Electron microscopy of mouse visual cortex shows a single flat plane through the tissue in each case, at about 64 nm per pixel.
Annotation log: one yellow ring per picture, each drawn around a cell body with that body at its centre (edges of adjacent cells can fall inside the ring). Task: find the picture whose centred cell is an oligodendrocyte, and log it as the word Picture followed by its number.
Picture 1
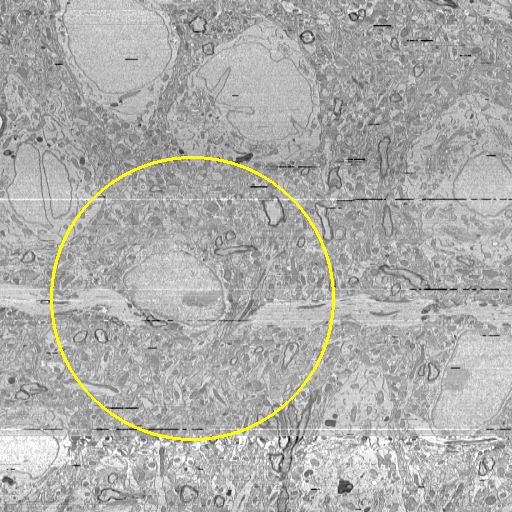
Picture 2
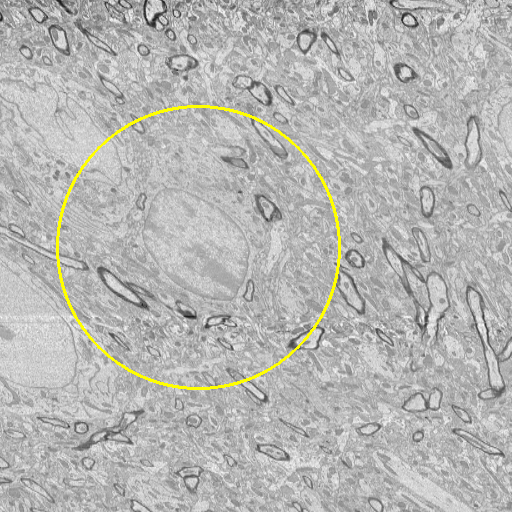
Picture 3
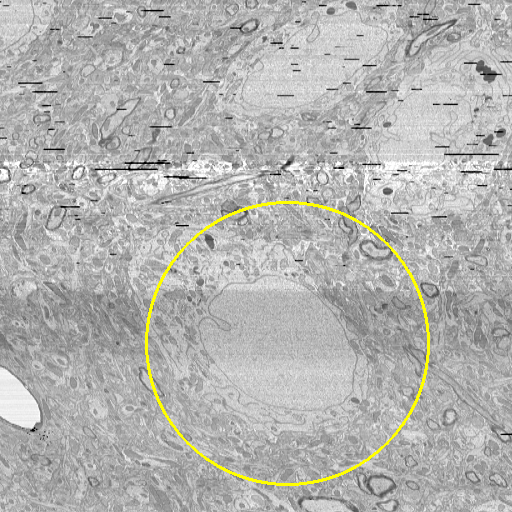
Picture 2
